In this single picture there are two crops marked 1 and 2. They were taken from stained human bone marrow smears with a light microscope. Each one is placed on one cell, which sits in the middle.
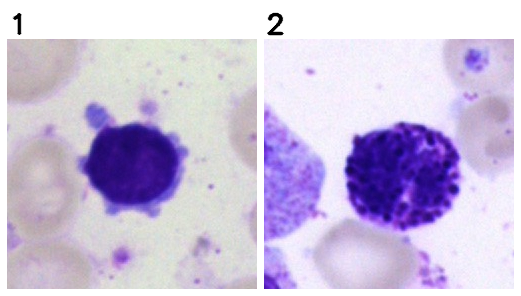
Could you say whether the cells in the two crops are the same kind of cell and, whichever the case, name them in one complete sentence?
No, in crop 1 the cell is a lymphocyte, and in crop 2 it is a basophil.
